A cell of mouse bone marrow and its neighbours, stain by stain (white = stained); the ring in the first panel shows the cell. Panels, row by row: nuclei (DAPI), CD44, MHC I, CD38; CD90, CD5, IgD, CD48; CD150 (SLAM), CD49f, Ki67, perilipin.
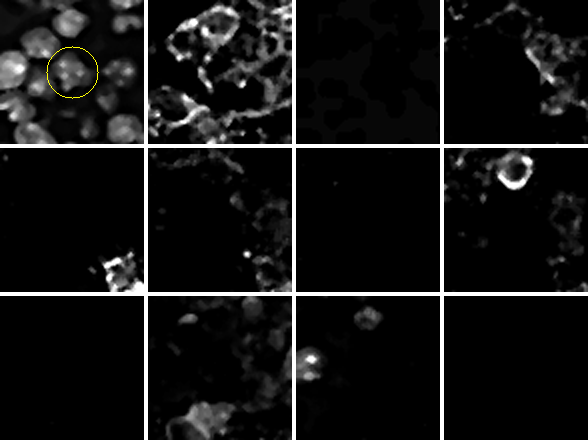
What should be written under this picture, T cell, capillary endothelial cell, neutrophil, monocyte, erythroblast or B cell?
neutrophil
